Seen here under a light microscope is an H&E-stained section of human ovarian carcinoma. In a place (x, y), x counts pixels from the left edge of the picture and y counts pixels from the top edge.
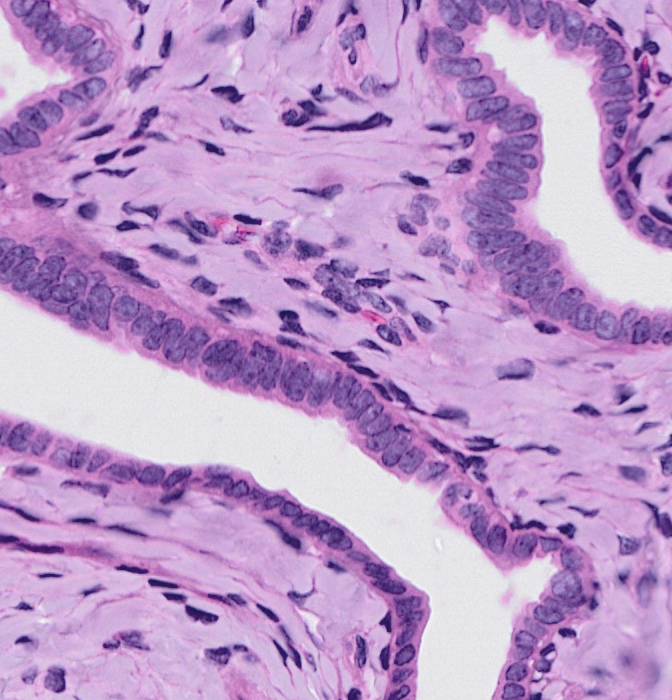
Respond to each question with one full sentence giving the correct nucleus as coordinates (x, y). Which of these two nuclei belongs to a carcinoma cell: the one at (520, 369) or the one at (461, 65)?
Lying within a carcinoma cell is the nucleus at (461, 65).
